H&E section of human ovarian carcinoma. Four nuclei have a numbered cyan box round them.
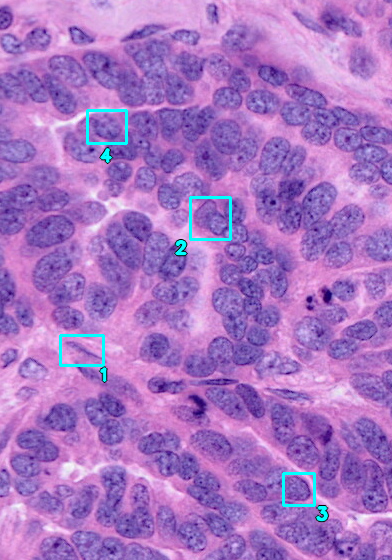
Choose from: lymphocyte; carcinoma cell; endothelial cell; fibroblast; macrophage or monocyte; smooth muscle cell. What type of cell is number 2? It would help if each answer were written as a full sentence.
The cell whose nucleus carries the number 2 is a carcinoma cell.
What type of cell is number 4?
The cell assigned the number 4 is a carcinoma cell.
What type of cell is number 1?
The identity of cell 1 is that of a fibroblast.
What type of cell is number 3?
Corresponding to a carcinoma cell is the cell labelled 3.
